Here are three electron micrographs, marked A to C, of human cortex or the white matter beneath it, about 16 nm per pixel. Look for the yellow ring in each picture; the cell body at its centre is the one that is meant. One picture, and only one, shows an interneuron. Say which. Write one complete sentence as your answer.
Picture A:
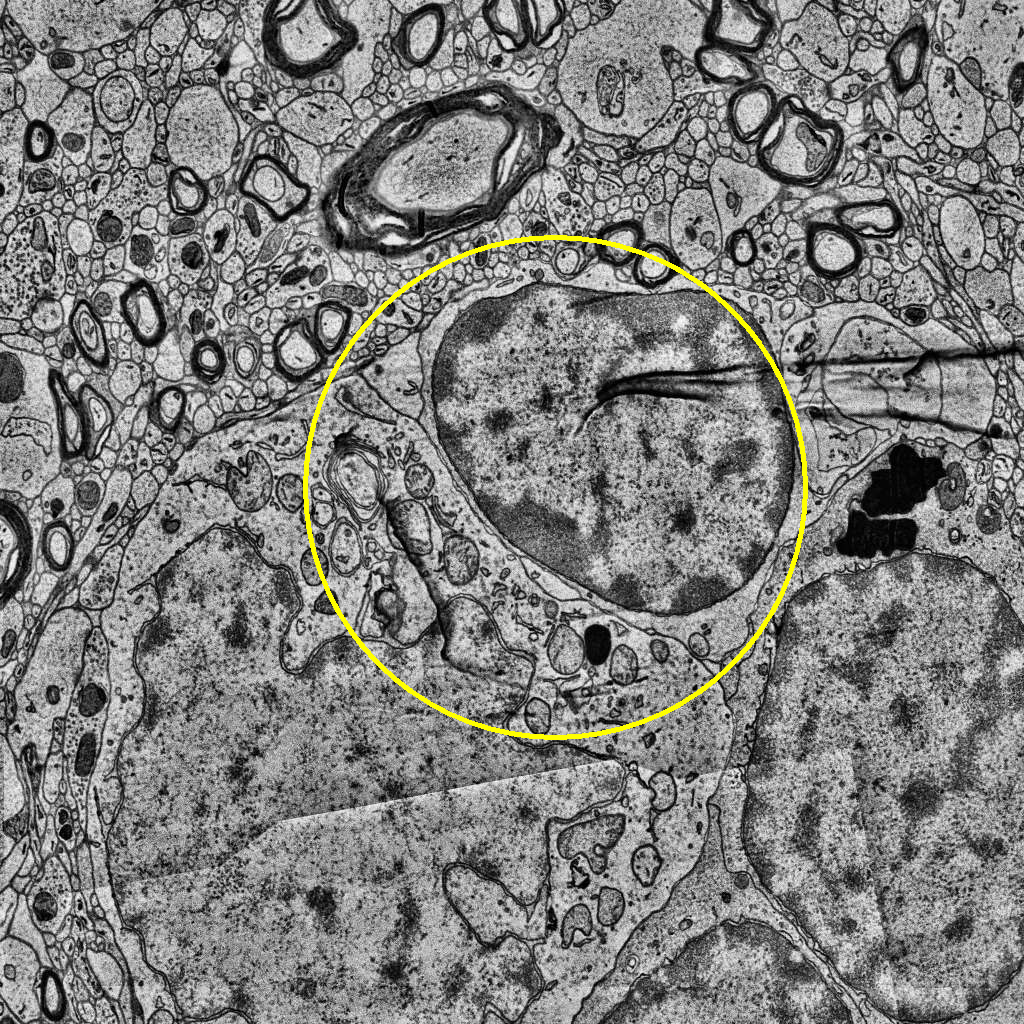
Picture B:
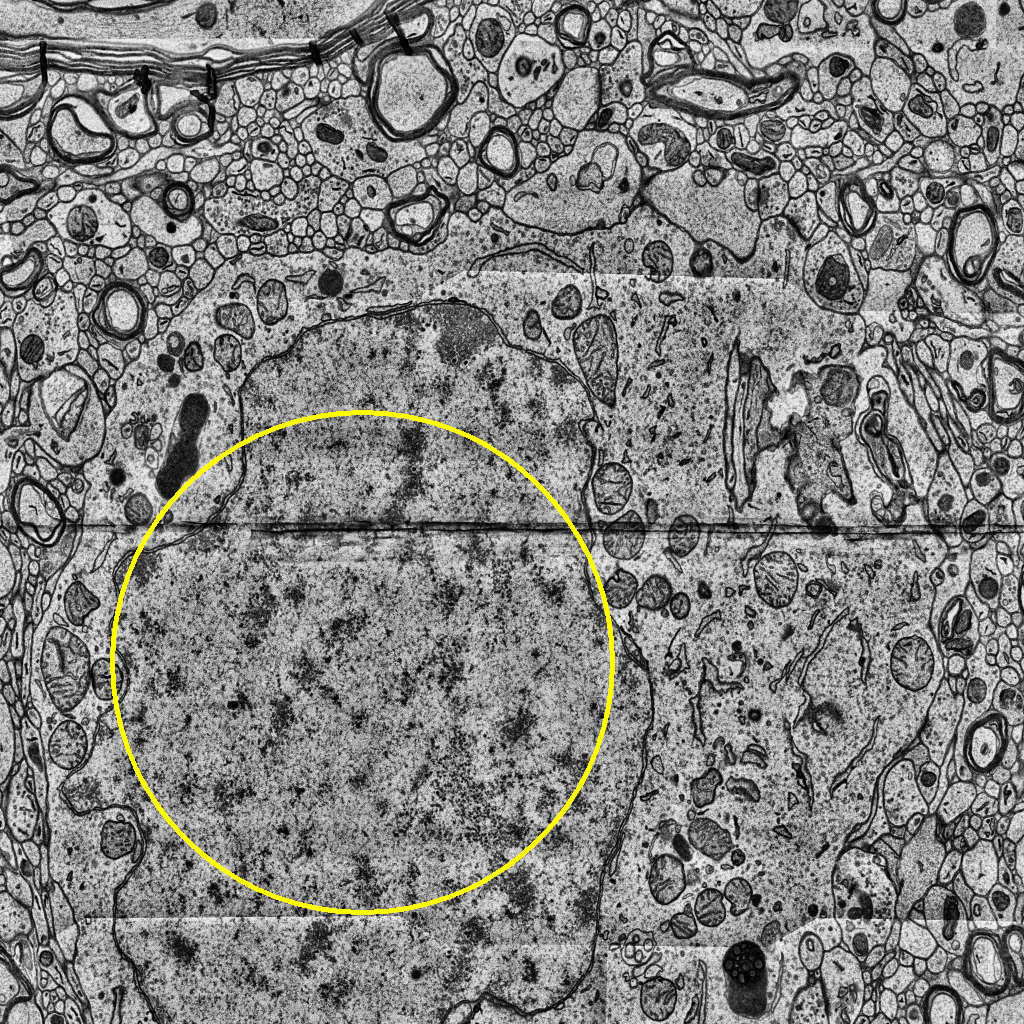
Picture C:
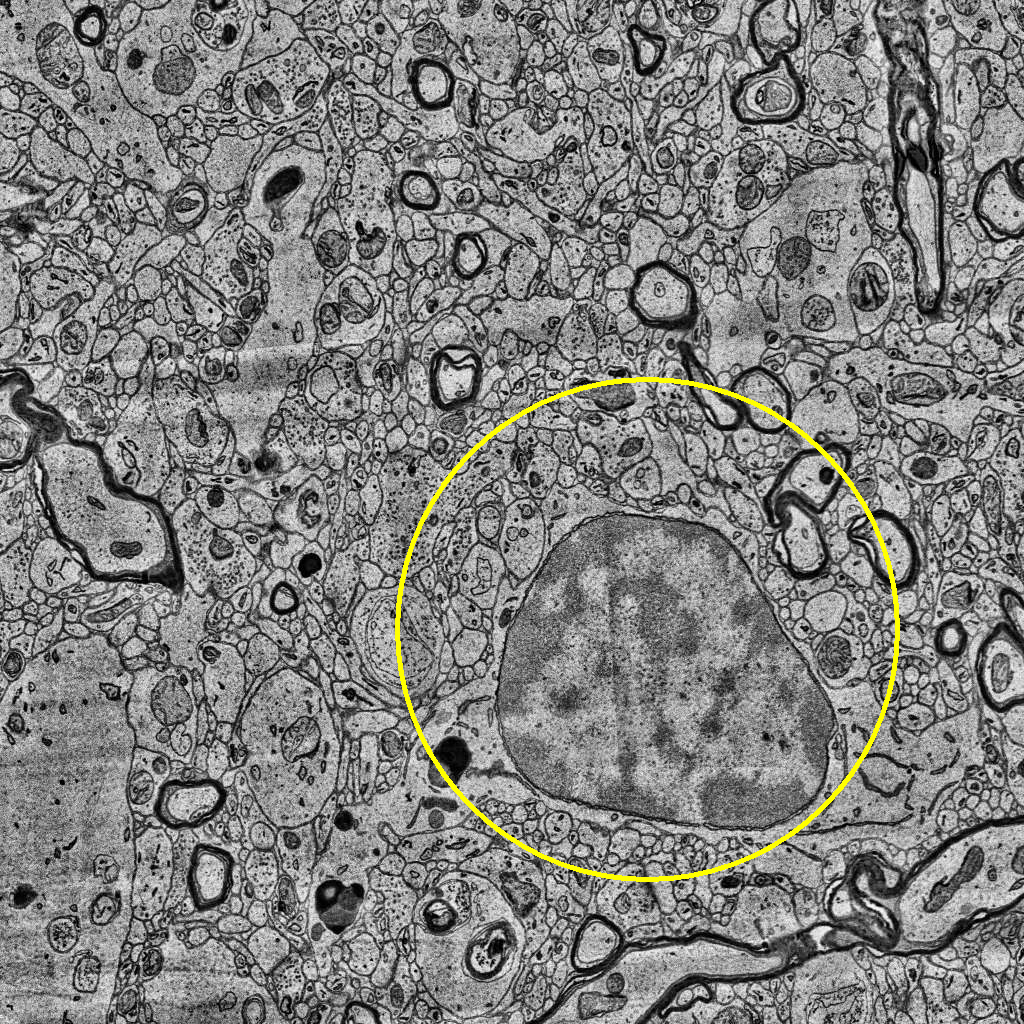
Picture B shows the interneuron.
